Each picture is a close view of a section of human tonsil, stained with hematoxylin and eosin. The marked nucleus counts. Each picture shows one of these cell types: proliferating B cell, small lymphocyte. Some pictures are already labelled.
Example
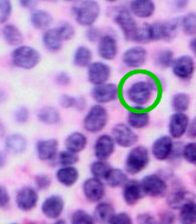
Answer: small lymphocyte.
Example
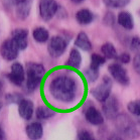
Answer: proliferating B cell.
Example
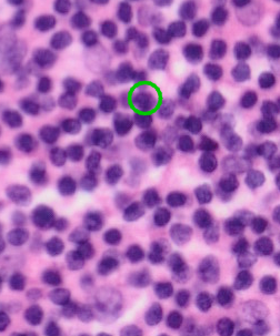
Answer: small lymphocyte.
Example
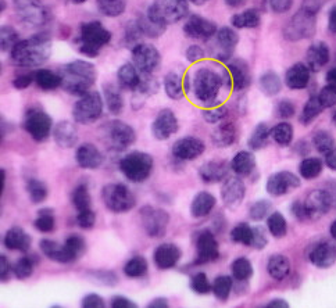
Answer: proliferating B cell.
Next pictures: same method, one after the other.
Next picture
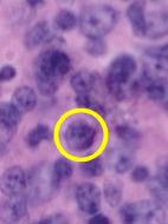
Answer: proliferating B cell.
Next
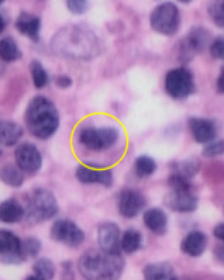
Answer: proliferating B cell.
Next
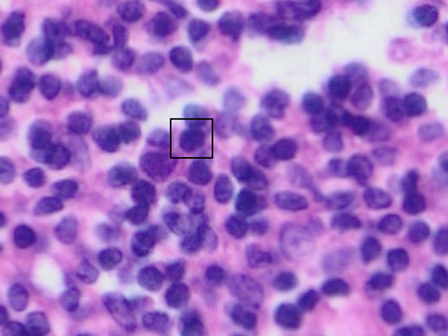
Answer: small lymphocyte.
